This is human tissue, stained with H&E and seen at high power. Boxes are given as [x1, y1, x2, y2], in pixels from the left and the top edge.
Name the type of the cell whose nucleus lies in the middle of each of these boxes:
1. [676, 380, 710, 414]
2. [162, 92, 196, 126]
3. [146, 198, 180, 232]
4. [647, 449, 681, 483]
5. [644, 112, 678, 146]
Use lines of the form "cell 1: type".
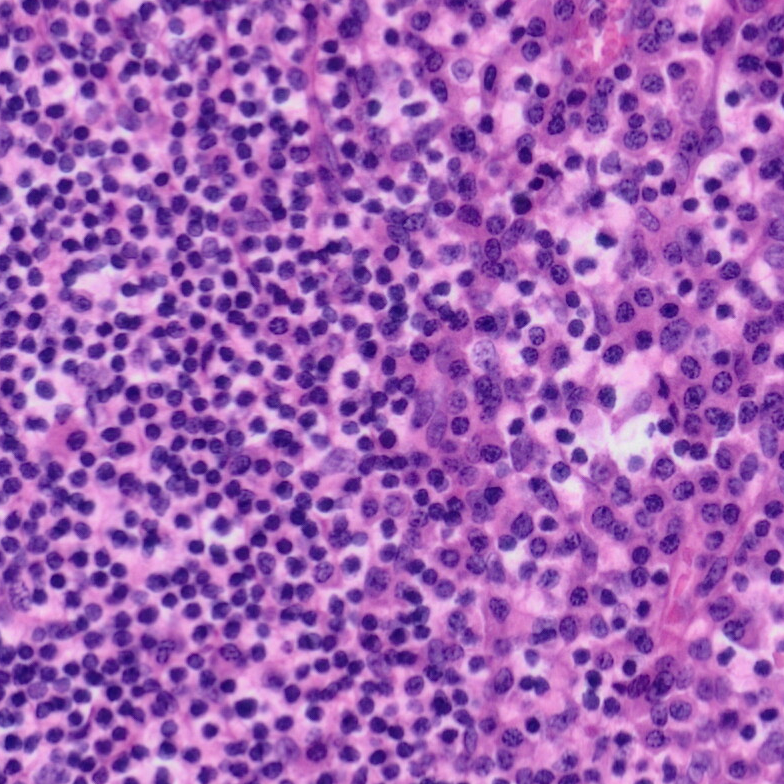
cell 1: plasma cell
cell 2: small lymphocyte
cell 3: small lymphocyte
cell 4: plasma cell
cell 5: plasma cell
